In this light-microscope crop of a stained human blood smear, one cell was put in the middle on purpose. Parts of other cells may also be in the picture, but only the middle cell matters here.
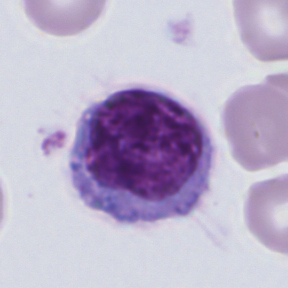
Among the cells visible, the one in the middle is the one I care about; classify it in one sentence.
The centered cell in this crop is a plasma cell.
